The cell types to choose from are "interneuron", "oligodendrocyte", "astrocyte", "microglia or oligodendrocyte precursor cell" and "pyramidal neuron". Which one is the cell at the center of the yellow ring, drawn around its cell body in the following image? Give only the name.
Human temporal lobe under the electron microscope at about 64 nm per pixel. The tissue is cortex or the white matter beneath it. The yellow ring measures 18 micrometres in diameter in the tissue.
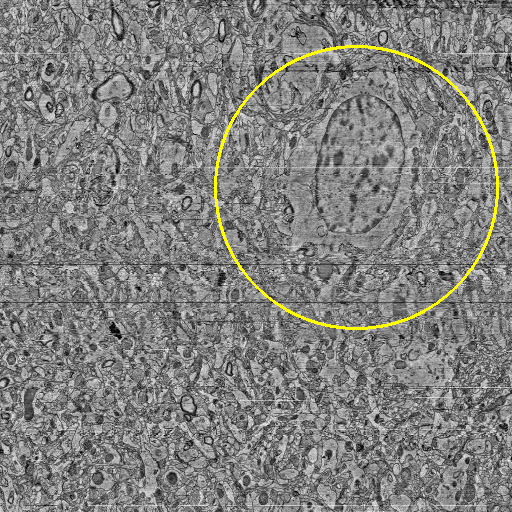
astrocyte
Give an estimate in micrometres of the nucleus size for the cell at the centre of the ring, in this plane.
Roughly 9 micrometres by 5 micrometres, so the nucleus is clearly longer than it is wide in this plane.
